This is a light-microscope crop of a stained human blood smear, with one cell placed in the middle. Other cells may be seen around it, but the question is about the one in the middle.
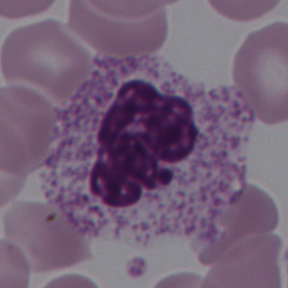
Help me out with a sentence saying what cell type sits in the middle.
Whatever else lies nearby, the middle cell is a neutrophil.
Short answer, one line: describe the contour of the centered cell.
This cell has an uneven outline, either ragged or bearing projections.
